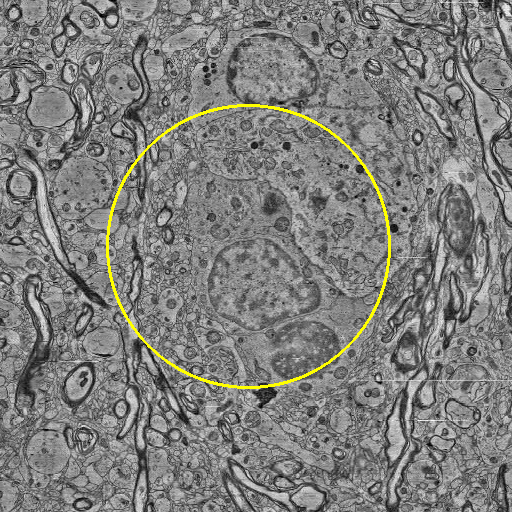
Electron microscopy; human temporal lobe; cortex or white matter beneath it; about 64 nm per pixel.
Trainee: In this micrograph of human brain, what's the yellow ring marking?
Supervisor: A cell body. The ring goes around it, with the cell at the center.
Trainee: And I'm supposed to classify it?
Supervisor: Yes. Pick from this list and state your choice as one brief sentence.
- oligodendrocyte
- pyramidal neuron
The cell at the ring's center is an oligodendrocyte.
